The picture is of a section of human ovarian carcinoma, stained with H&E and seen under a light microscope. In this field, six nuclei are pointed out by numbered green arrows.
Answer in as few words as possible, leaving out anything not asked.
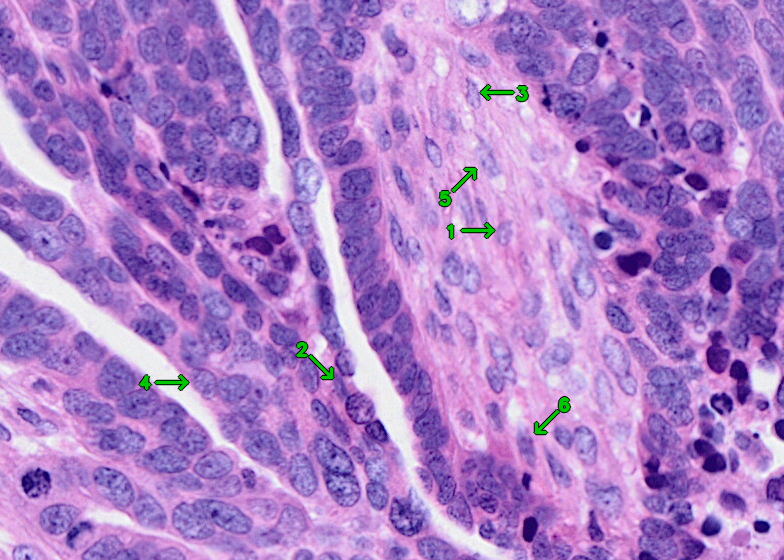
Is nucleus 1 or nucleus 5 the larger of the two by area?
5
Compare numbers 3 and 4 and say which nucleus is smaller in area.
3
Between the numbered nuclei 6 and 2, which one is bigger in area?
6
